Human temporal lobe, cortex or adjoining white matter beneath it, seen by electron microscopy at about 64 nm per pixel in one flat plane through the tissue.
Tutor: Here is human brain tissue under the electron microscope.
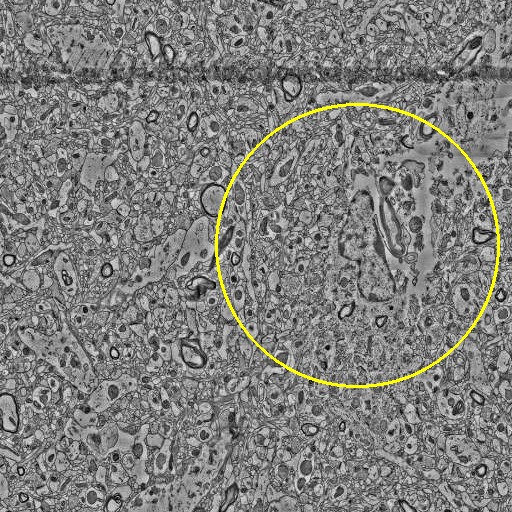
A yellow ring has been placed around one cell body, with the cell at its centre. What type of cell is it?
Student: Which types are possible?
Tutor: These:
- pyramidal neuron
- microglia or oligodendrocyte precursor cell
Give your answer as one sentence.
What the ring picks out here is a microglial cell or oligodendrocyte precursor cell.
